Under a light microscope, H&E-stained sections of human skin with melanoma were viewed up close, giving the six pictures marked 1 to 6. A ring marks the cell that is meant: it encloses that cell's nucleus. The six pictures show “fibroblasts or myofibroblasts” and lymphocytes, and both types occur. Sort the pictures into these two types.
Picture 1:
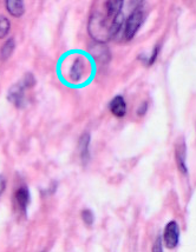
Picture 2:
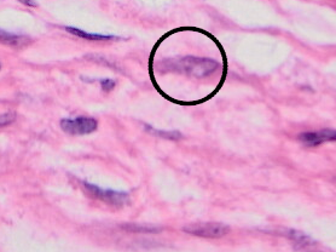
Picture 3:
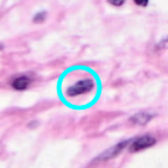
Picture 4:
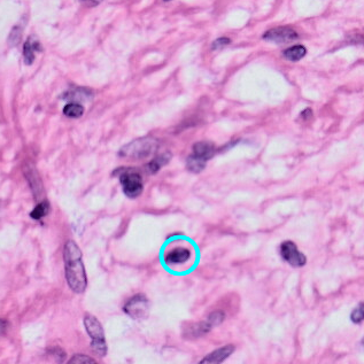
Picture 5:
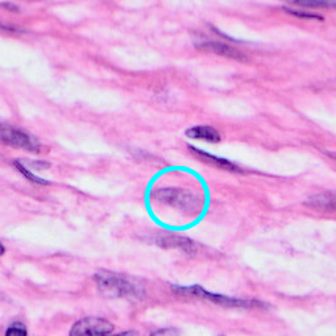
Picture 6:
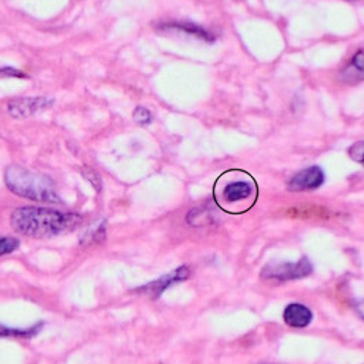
1: lymphocyte
2: fibroblast or myofibroblast
3: lymphocyte
4: lymphocyte
5: fibroblast or myofibroblast
6: lymphocyte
